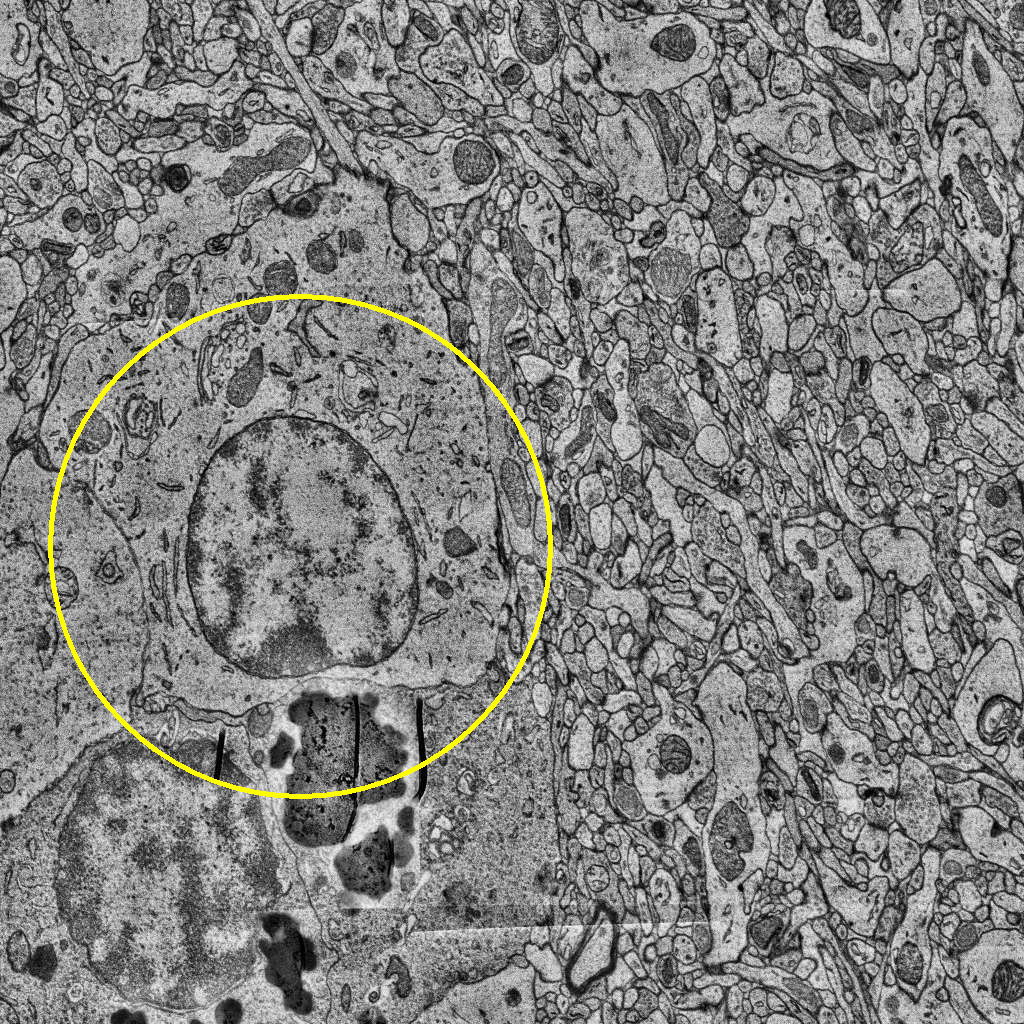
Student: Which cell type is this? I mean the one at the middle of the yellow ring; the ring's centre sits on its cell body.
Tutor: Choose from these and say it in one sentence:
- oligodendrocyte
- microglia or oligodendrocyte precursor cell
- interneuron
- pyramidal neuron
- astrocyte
The cell at the ring's centre is a microglial cell or oligodendrocyte precursor cell.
